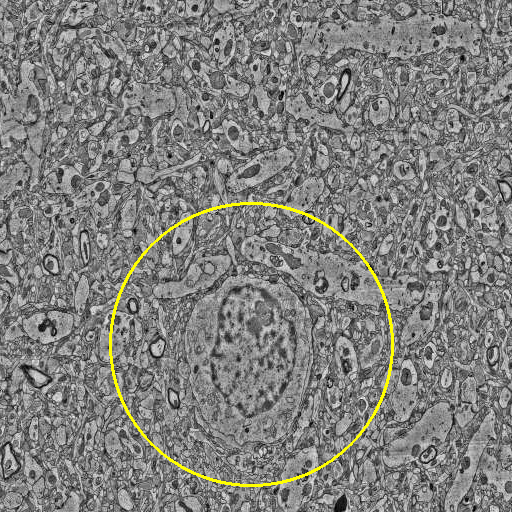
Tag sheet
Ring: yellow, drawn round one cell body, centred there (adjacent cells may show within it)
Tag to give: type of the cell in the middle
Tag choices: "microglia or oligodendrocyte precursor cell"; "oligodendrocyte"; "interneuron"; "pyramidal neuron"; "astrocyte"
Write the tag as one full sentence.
I tag the cell centred in the yellow ring as an interneuron in this picture.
